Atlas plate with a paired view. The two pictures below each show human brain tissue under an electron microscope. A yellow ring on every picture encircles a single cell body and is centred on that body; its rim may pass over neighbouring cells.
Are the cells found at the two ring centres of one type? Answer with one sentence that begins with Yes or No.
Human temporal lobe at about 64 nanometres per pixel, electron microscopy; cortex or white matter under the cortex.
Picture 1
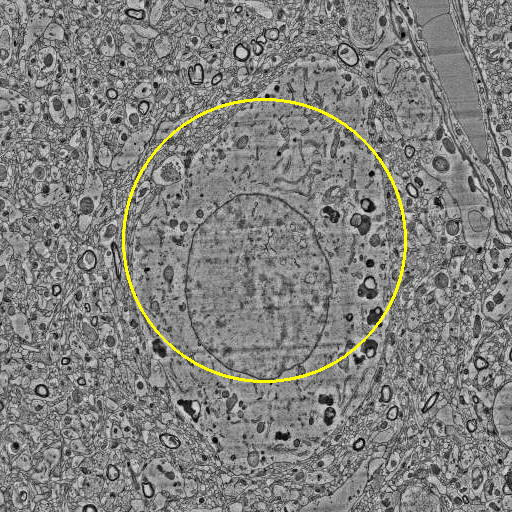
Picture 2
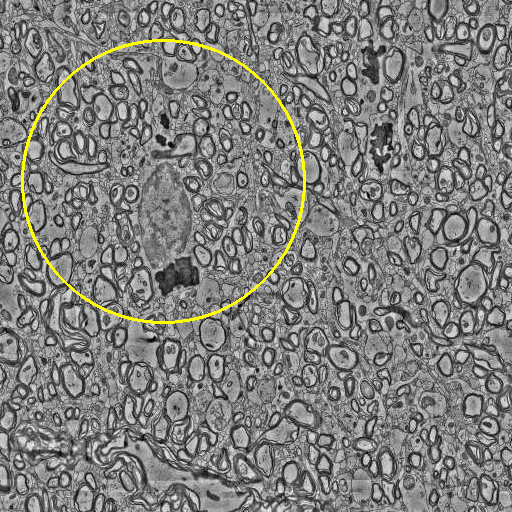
No, the two cells lying at the centres of the rings are of two types.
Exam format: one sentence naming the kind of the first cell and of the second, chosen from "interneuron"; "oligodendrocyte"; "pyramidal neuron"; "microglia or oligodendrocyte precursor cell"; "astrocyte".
The first picture's cell is a pyramidal neuron, and the second picture's cell is an oligodendrocyte.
